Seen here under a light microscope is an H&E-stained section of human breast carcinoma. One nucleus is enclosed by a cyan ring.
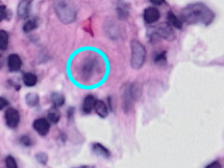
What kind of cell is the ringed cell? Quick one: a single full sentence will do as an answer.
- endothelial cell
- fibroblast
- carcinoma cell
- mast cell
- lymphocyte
In the tissue at hand, the ringed cell is an endothelial cell.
